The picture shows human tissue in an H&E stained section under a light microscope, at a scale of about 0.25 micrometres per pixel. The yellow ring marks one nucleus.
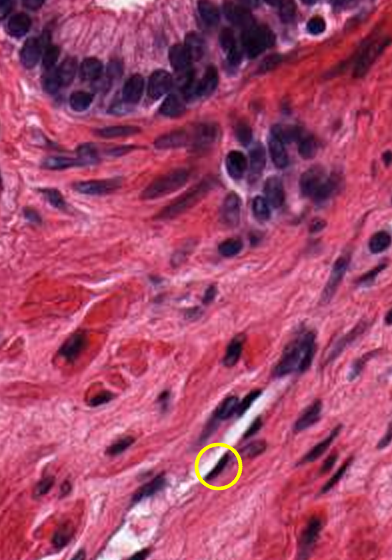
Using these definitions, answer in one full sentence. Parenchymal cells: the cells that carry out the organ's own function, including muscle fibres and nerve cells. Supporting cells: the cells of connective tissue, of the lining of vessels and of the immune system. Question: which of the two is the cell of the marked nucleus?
What the marked nucleus belongs to is a supporting cell.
